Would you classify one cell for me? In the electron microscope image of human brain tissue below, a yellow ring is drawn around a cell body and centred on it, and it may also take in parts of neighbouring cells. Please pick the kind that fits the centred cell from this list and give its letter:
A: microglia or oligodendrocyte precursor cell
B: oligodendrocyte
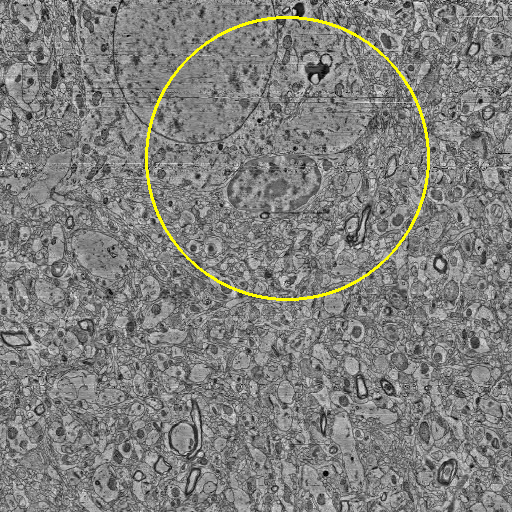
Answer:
A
